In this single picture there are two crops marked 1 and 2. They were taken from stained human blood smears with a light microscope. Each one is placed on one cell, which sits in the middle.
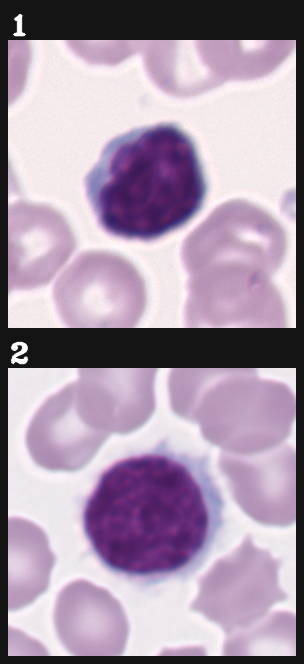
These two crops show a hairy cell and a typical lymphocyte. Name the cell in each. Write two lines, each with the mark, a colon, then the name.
1: typical lymphocyte
2: hairy cell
